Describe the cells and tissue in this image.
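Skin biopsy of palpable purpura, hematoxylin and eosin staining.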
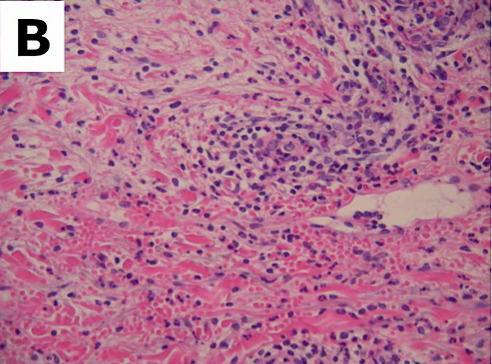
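Around the vessel, densely packed small cells with dark purple nuclei form a cuff of inflammatory cells, thinning out into the surrounding tissue. Between the pink collagen bundles many small, red, anucleate bodies lie outside the vessel, red blood cells that have escaped into the tissue. Among the inflammatory cells small dark fragments of broken nuclei can be made out. The collagen appears loosened and separated by these cells rather than forming compact bundles.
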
